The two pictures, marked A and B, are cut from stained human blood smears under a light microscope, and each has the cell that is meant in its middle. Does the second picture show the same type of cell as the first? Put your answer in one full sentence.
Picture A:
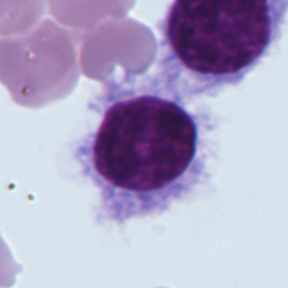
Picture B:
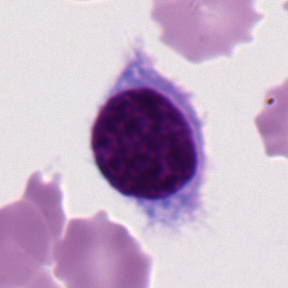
Yes, the two pictures both show hairy cells.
